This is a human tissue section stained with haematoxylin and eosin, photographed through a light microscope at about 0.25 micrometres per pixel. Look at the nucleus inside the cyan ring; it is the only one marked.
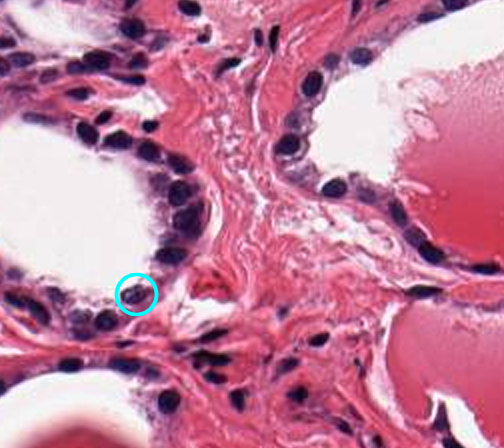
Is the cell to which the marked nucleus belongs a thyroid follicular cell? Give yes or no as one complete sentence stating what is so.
Yes, the marked nucleus forms part of a thyroid follicular cell.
